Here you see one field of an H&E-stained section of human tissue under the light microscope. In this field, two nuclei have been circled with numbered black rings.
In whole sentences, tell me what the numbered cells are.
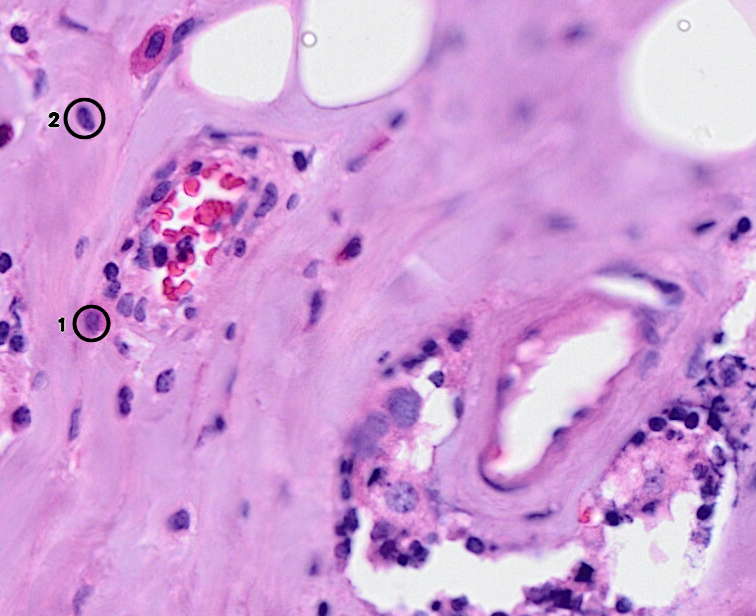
Cell 1 is a mast cell. Cell 2 is a lymphocyte.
